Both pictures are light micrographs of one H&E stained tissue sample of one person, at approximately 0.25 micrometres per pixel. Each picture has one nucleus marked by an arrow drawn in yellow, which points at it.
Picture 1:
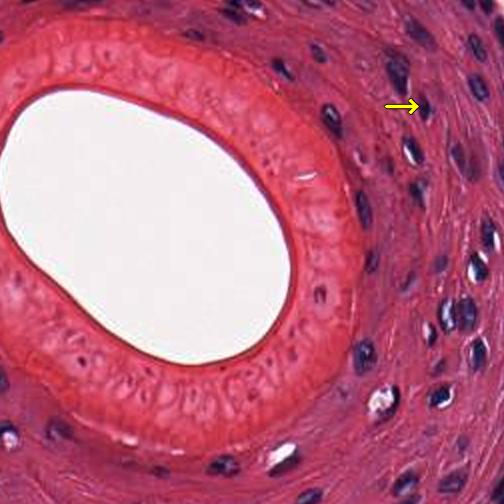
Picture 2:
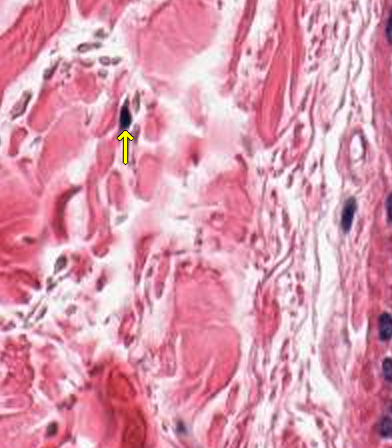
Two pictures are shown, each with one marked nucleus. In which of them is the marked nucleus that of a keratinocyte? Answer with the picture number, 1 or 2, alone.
1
